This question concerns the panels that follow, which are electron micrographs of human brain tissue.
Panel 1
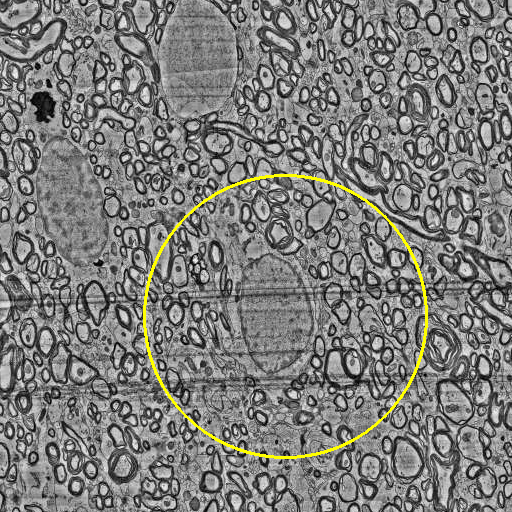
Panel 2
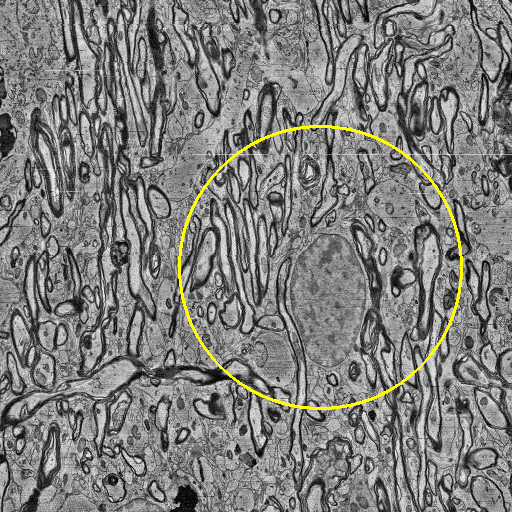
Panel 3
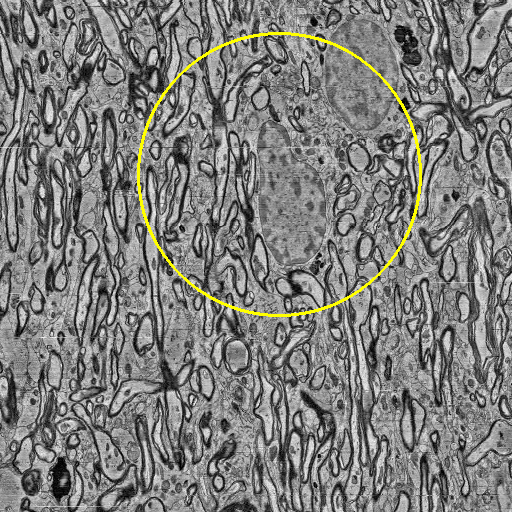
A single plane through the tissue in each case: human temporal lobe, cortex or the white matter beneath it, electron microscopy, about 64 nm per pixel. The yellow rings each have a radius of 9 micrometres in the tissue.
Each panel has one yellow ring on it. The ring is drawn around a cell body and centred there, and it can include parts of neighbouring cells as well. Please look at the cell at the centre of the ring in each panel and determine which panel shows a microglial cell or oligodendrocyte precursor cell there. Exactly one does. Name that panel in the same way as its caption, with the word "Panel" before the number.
Panel 3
